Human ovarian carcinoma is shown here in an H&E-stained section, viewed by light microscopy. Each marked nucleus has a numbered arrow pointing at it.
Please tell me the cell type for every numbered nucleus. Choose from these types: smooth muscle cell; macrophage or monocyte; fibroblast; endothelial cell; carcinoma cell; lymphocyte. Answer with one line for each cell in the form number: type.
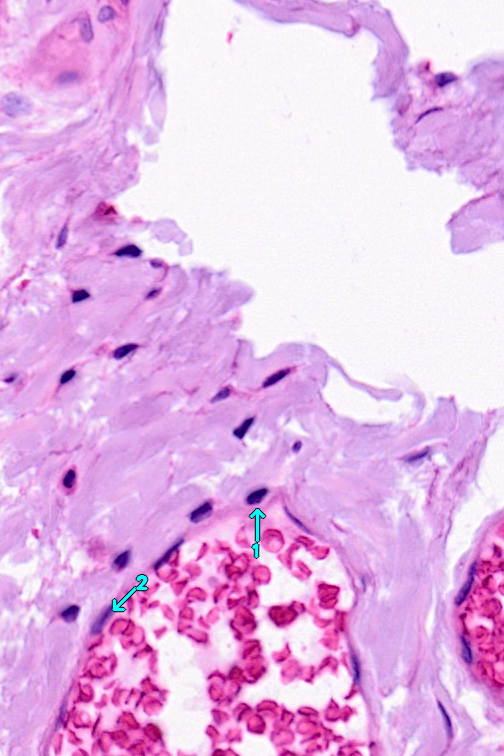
1: lymphocyte
2: endothelial cell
